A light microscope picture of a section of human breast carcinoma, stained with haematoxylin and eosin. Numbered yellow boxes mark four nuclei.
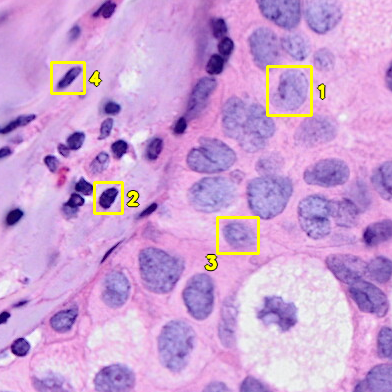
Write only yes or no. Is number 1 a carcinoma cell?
yes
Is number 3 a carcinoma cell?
yes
